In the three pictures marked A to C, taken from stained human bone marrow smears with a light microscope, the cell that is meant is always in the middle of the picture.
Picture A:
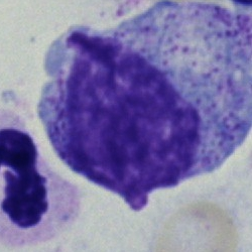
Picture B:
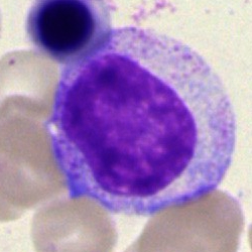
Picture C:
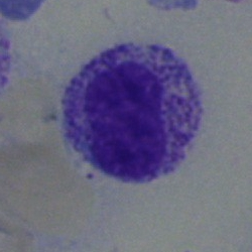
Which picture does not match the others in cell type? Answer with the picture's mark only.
A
